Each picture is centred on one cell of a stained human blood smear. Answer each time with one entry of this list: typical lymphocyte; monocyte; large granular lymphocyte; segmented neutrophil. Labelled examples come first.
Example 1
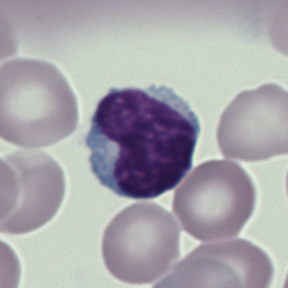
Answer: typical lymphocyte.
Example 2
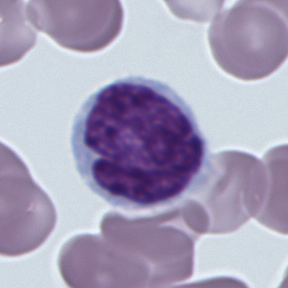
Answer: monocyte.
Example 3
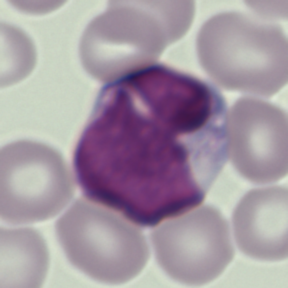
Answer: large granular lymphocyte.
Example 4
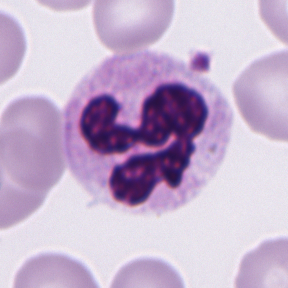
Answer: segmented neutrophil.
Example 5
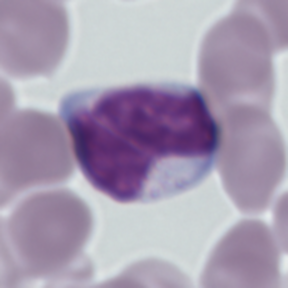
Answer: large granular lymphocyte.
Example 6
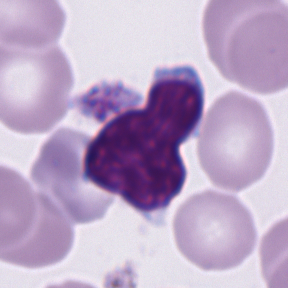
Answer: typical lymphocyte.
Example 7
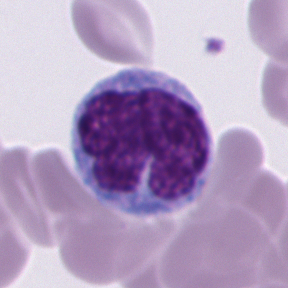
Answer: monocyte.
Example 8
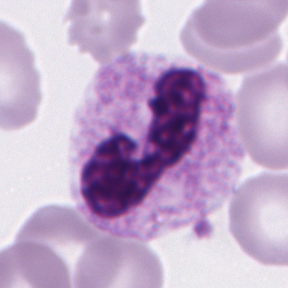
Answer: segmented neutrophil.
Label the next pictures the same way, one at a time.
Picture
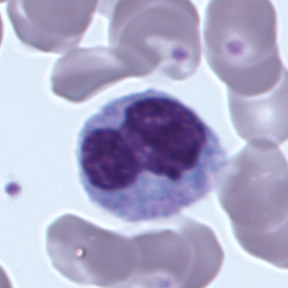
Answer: monocyte.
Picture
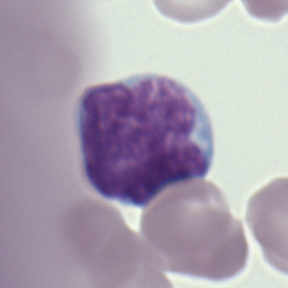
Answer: monocyte.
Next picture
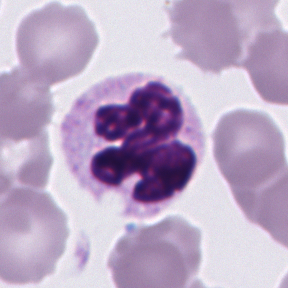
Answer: segmented neutrophil.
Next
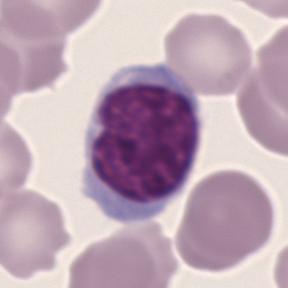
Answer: typical lymphocyte.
